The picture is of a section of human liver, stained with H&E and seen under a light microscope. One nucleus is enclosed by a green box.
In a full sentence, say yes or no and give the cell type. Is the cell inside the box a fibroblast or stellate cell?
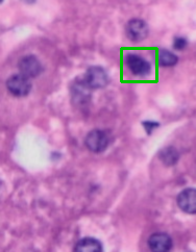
Yes, the cell inside the box is one that is classed as a fibroblast or stellate cell.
